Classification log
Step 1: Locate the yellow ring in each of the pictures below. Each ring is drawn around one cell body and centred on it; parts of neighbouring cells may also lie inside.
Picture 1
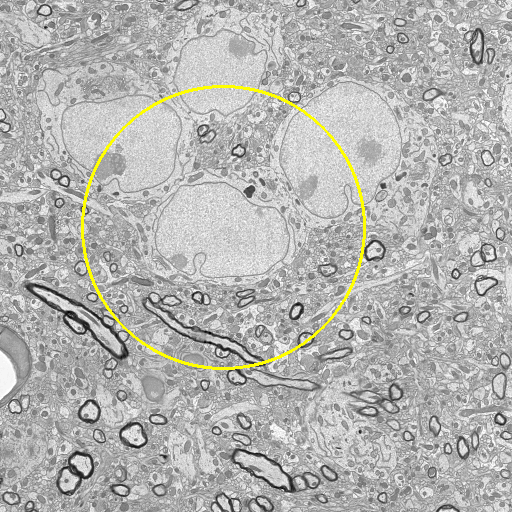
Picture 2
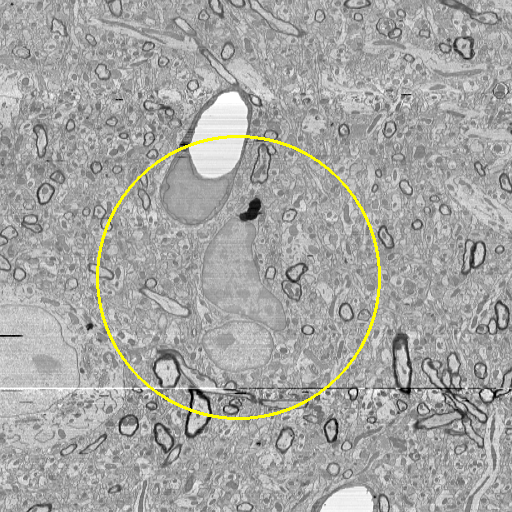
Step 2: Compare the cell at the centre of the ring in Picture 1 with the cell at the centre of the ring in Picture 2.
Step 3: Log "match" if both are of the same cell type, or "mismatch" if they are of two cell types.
mismatch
